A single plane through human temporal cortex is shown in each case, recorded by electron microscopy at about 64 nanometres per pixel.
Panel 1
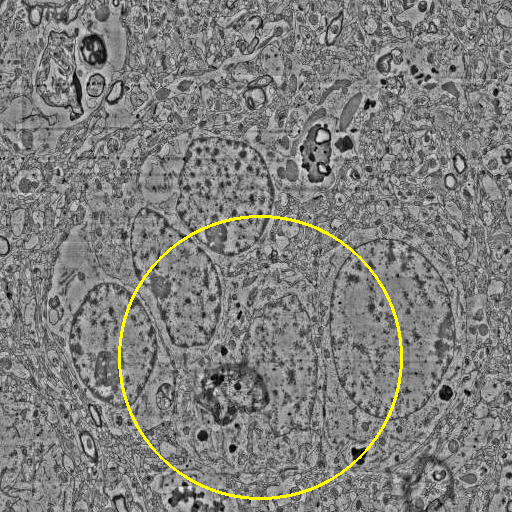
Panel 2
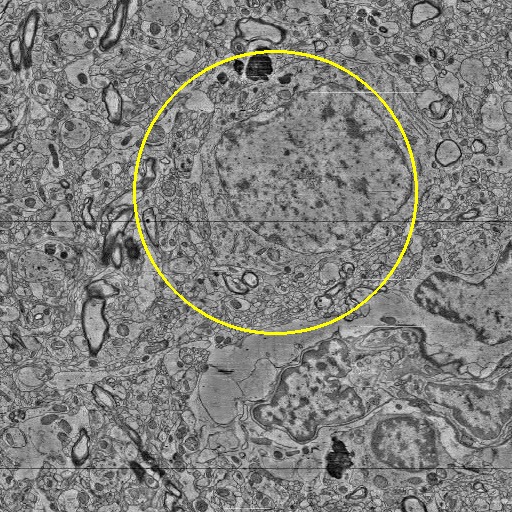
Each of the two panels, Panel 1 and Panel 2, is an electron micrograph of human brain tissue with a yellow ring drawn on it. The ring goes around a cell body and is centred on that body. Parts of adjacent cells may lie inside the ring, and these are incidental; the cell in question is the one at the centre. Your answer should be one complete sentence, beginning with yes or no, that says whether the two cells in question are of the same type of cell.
Yes, the two cells are of the same type.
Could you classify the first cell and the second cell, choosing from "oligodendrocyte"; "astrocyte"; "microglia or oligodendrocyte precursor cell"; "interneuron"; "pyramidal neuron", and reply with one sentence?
Each of the two rings is centred on an interneuron.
